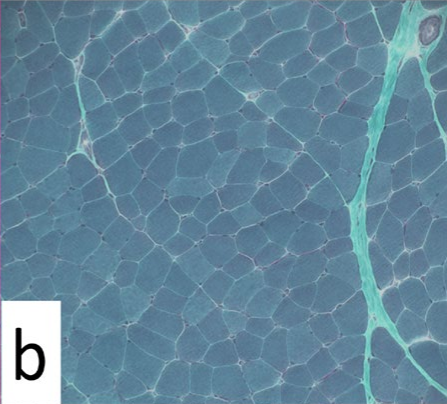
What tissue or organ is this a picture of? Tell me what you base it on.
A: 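Muscle. Tightly packed polygonal fibers in cross-section. Fibers grouped into fascicles bounded by green-stained connective tissue septa. A small vessel lies within a septum at the upper right.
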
